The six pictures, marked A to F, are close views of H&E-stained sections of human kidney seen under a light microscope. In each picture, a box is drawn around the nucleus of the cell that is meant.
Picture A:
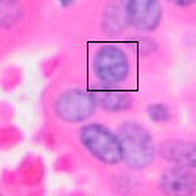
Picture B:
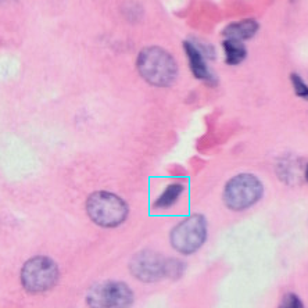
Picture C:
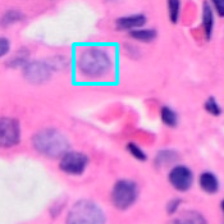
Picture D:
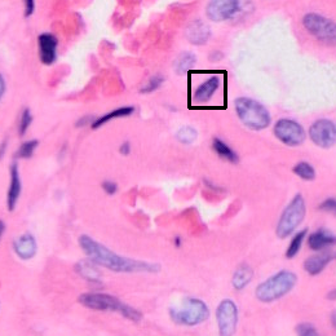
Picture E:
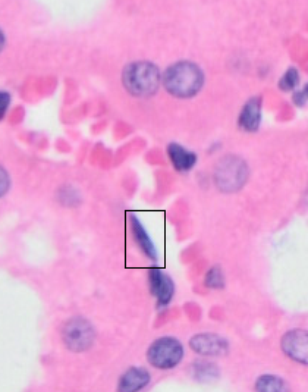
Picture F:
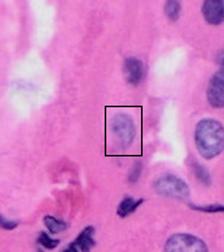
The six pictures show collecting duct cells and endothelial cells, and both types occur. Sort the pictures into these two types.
A: collecting duct cell
B: endothelial cell
C: collecting duct cell
D: collecting duct cell
E: endothelial cell
F: collecting duct cell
